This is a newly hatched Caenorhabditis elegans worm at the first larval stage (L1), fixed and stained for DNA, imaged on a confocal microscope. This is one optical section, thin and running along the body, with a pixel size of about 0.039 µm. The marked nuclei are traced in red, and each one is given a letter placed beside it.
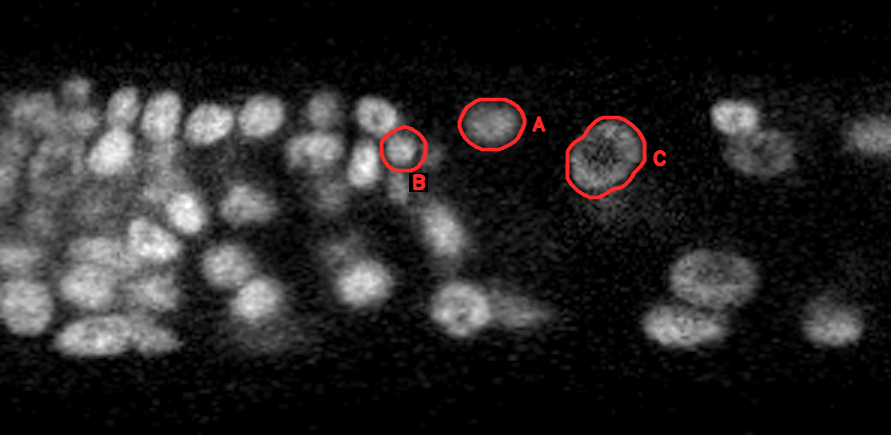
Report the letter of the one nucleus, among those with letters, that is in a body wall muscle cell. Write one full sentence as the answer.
A is the one that belongs to a body wall muscle cell.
